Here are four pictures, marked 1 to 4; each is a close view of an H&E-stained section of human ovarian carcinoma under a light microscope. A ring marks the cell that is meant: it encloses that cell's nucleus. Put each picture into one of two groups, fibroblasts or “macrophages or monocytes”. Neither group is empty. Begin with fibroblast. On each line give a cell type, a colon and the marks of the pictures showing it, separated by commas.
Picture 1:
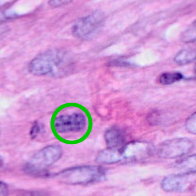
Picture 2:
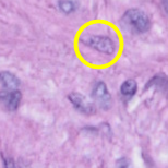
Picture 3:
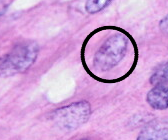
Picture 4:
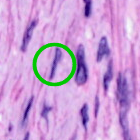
fibroblast: 2, 3, 4
macrophage or monocyte: 1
